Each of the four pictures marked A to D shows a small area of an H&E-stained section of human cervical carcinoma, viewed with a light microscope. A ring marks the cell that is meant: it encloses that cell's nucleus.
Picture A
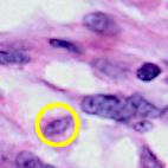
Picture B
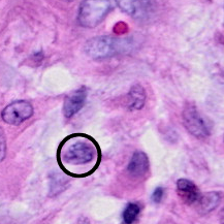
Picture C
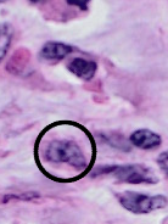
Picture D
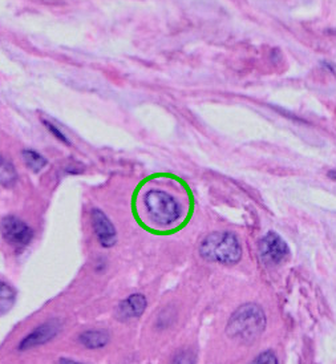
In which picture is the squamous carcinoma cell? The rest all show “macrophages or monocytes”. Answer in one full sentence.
The squamous carcinoma cell is the one in picture D.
